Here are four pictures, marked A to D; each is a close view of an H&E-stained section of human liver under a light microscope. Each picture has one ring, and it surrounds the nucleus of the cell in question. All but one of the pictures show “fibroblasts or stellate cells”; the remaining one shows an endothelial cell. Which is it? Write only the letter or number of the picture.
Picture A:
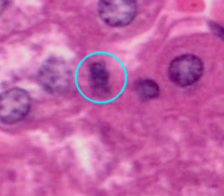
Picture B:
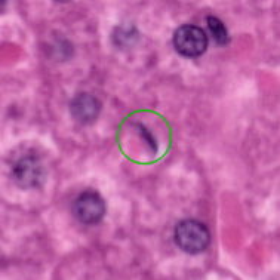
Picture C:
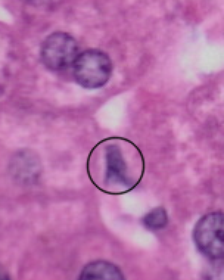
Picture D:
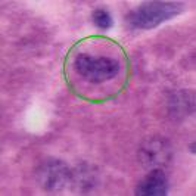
B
